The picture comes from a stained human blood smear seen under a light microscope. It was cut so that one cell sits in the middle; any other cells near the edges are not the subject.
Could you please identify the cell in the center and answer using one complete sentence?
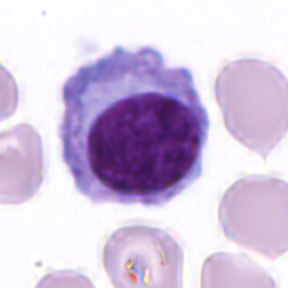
The cell at the middle of the crop is recognized as a plasma cell.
